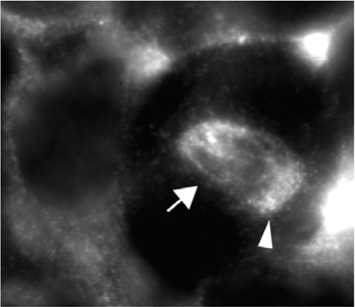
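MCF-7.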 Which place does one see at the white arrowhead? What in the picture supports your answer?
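The arrowhead points at a bright spot at the right end of the fibrous structure. The answer: centrosomal region.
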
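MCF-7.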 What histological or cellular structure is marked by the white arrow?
Mitotic spindle.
